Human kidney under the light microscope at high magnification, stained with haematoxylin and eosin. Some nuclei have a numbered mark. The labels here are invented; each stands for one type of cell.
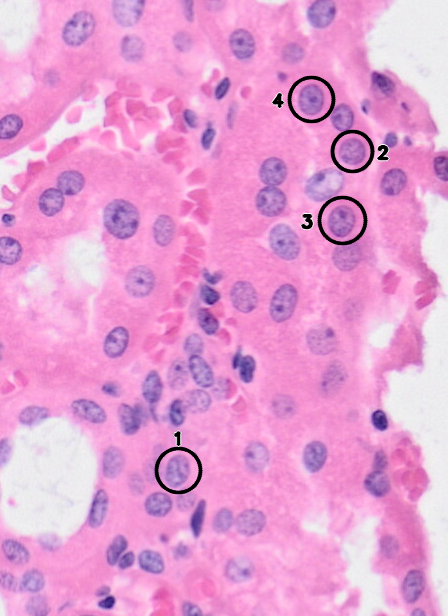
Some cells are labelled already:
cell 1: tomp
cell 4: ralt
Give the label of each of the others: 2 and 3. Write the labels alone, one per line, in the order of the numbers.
ralt
ralt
